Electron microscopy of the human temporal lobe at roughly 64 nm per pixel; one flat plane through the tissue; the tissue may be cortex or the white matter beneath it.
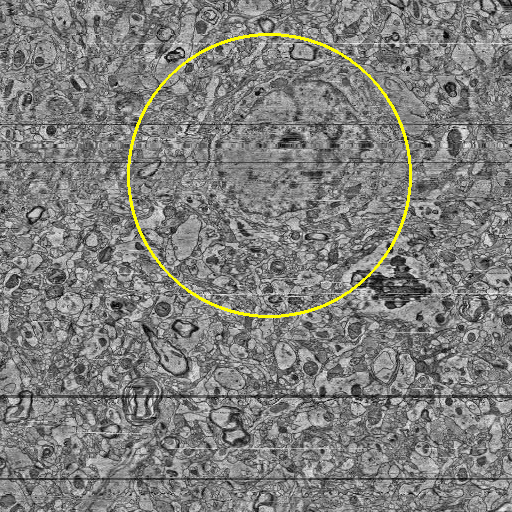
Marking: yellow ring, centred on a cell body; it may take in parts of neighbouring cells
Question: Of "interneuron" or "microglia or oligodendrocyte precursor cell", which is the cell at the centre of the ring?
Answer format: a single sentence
The ring surrounds the body of an interneuron.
